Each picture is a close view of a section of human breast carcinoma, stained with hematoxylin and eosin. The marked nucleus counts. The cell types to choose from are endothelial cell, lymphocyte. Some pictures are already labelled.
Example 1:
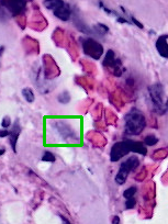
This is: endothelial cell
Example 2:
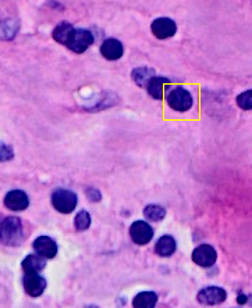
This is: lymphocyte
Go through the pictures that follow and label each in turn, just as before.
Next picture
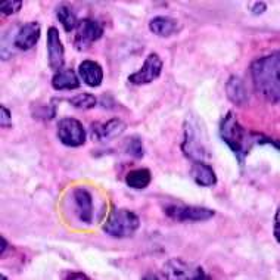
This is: lymphocyte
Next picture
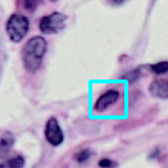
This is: lymphocyte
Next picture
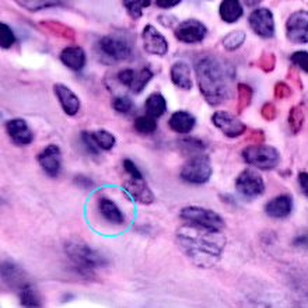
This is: lymphocyte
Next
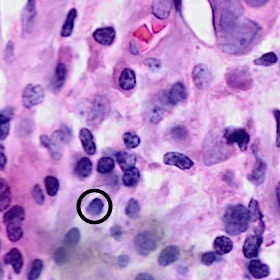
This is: lymphocyte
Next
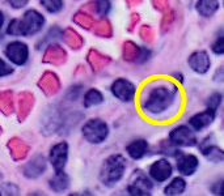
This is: lymphocyte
